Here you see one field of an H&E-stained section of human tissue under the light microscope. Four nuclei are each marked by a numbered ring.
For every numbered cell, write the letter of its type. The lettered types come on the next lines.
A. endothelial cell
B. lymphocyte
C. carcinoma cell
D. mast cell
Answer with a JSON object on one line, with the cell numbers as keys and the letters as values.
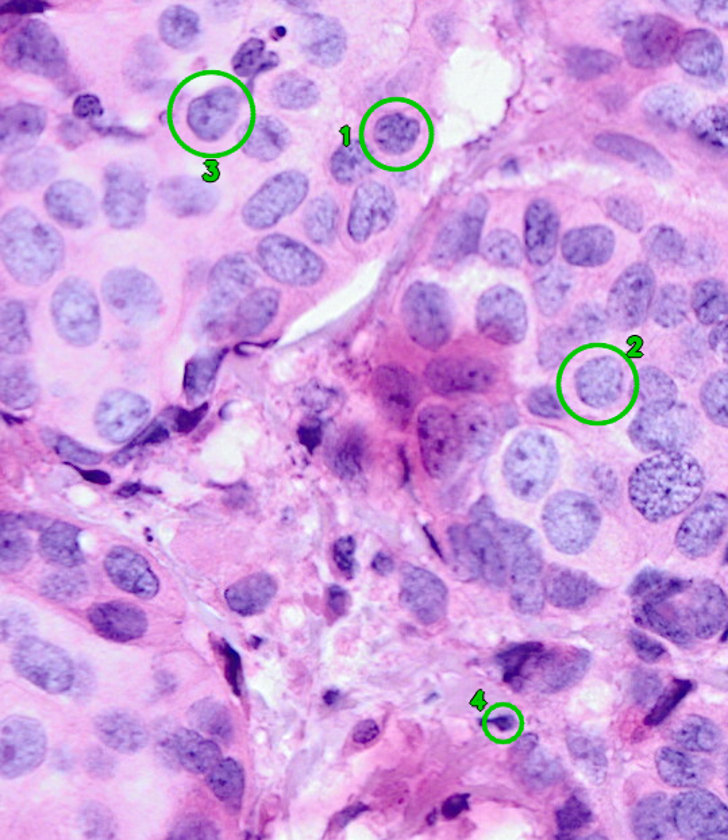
{"1": "C", "2": "C", "3": "C", "4": "B"}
